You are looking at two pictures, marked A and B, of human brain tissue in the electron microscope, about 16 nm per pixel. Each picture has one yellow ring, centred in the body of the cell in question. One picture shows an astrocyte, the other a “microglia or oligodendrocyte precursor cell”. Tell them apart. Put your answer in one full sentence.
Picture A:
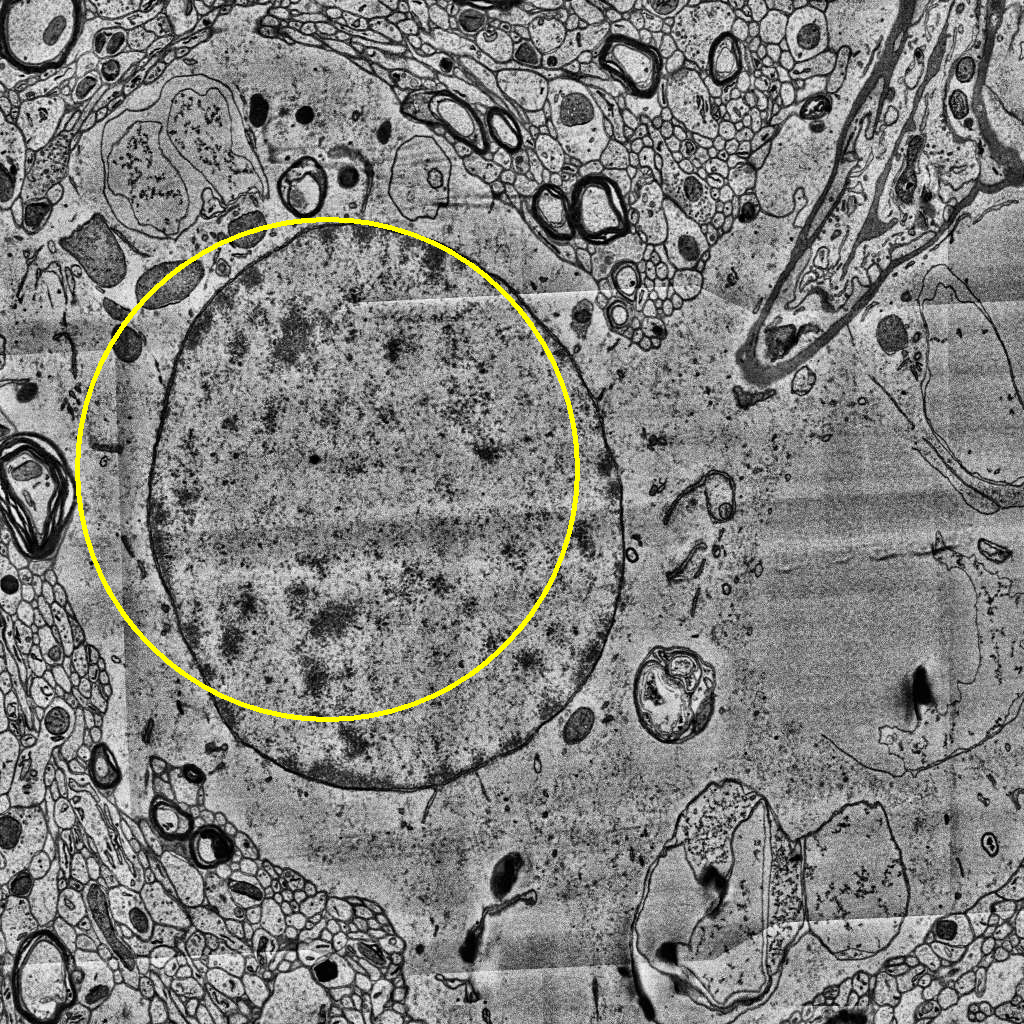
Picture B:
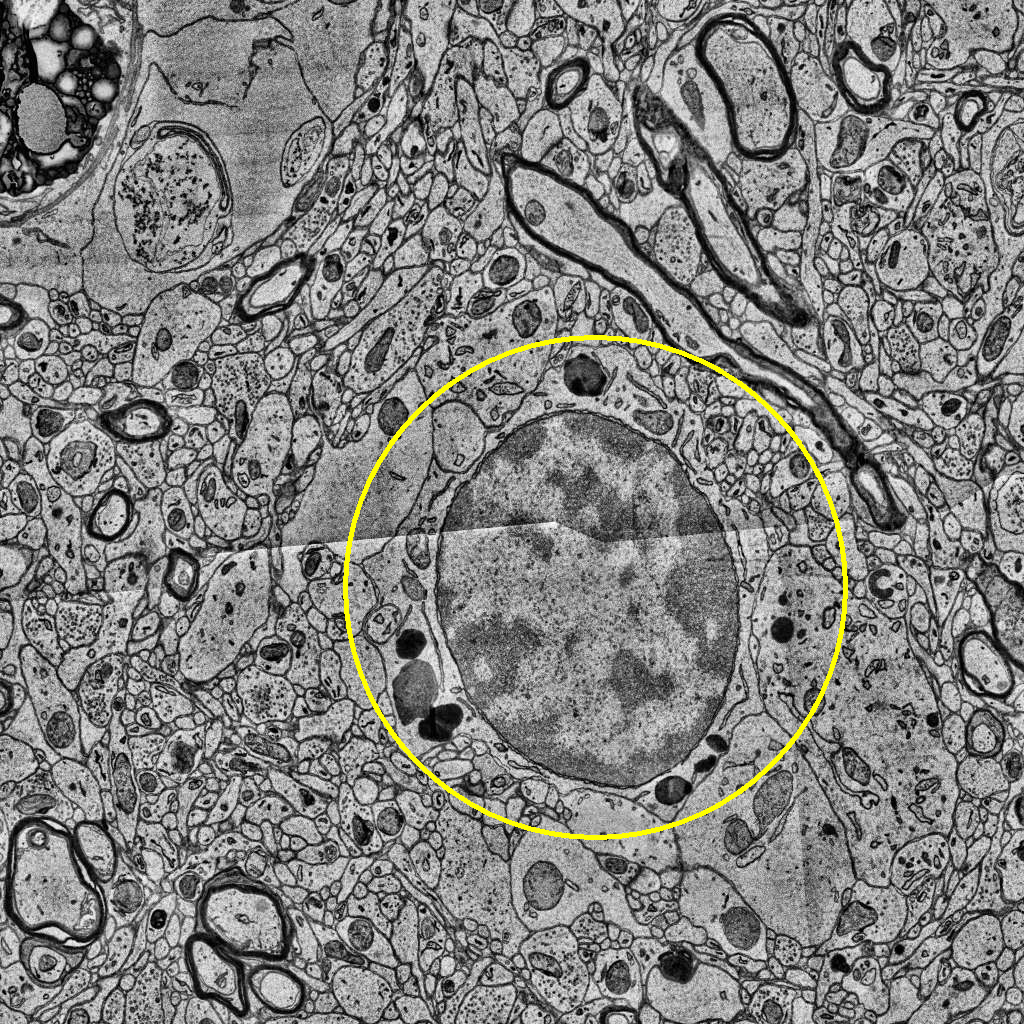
In picture A the cell is an astrocyte; in picture B, a “microglia or oligodendrocyte precursor cell”.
